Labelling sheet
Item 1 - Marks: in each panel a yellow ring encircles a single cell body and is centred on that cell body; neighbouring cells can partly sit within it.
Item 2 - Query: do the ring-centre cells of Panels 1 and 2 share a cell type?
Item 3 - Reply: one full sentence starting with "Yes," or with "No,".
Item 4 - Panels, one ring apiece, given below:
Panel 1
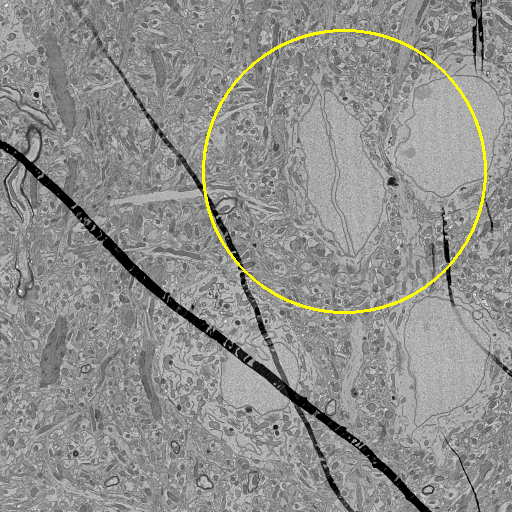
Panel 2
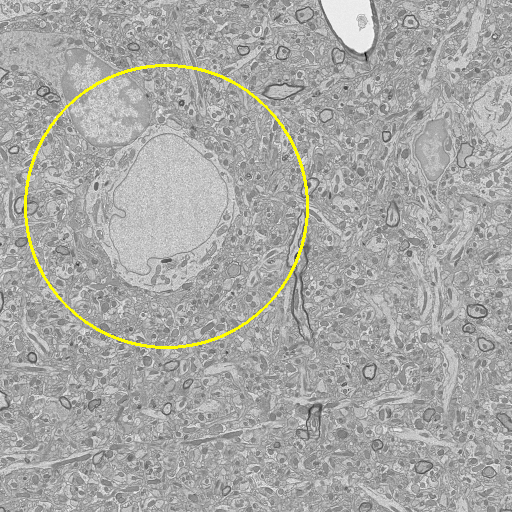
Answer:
No, Panel 1 and Panel 2 show two cell types at the centres of their rings.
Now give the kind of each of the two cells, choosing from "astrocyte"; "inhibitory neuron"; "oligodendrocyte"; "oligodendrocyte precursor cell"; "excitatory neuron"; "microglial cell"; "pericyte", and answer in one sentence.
The cell in the first picture is an inhibitory neuron, and the cell in the second is an excitatory neuron.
